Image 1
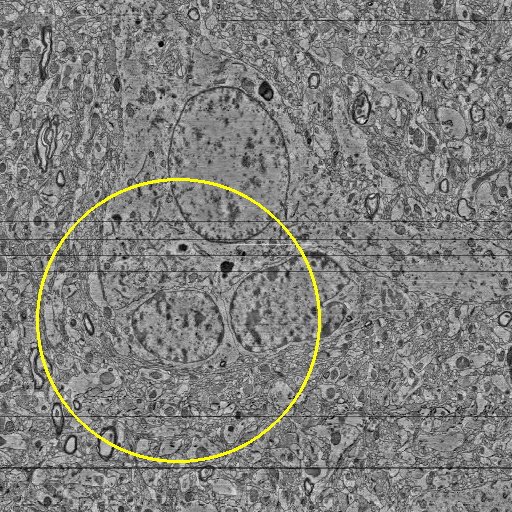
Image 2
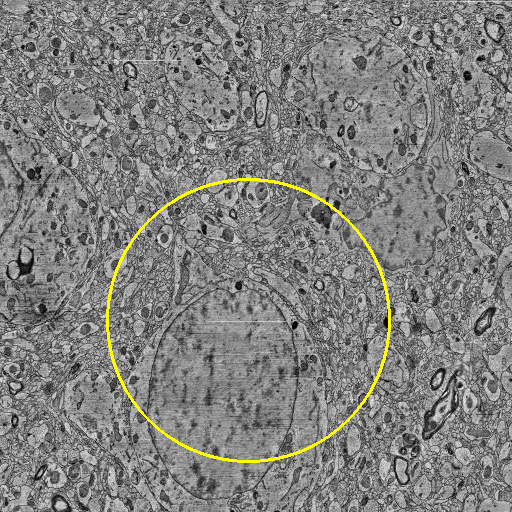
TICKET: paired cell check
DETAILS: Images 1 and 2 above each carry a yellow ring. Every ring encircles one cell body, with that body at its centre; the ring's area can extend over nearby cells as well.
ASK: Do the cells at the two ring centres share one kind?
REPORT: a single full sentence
No, the ring-centre cells of Images 1 and 2 belong to two kinds.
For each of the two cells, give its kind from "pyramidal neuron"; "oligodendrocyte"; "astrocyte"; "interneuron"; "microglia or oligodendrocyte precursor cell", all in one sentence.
The first picture has a microglial cell or oligodendrocyte precursor cell in its ring, the second has a pyramidal neuron.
